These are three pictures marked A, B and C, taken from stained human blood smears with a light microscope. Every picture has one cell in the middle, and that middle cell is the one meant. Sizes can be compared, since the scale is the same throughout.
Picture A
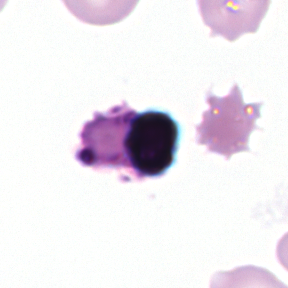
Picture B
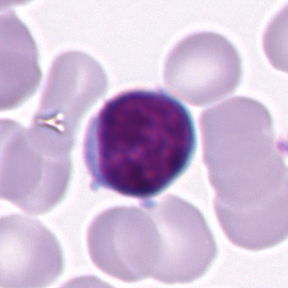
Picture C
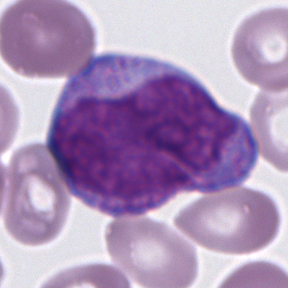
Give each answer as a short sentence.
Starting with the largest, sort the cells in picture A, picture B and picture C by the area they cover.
The order is C, B, A, beginning with the largest.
